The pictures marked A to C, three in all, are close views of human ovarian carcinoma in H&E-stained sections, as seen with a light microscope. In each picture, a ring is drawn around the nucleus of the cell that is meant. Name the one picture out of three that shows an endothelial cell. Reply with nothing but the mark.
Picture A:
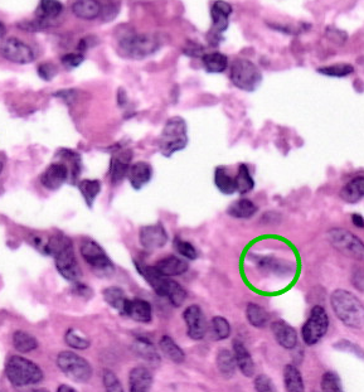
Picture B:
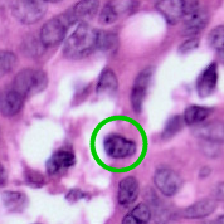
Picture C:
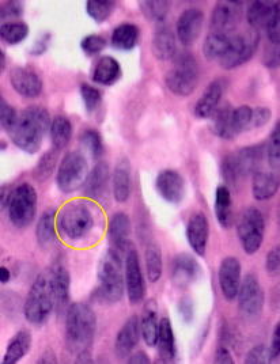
A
